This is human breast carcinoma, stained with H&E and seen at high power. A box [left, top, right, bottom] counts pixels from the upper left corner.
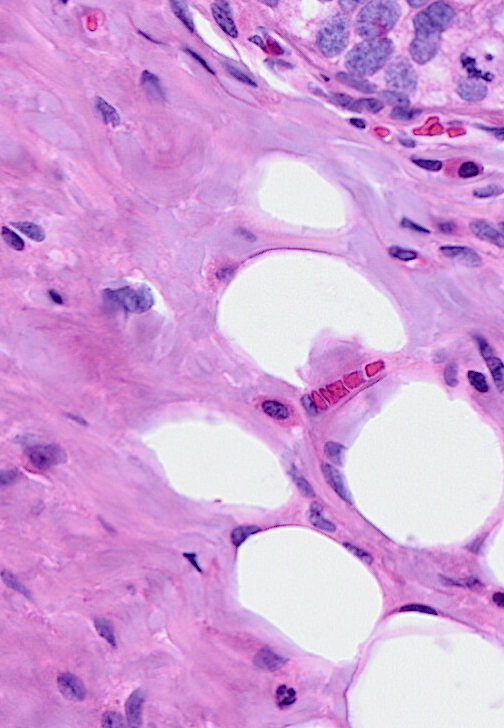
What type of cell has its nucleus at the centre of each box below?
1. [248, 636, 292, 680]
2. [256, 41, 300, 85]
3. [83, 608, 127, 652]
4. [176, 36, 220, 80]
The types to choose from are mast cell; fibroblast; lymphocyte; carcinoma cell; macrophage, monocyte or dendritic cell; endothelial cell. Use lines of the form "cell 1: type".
cell 1: fibroblast
cell 2: endothelial cell
cell 3: fibroblast
cell 4: fibroblast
